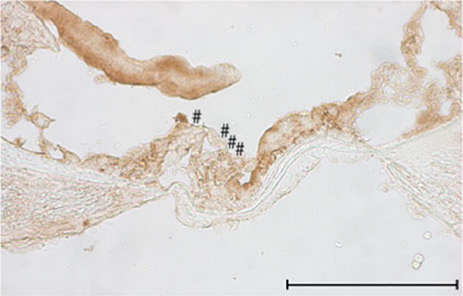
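This section shows the organ of Corti of the cochlea, with its sensory epithelium rising as a mound on a thin membrane that spans the field. Cells of the epithelium around the sensory region carry a patchy brown stain, including cells lining the shallow inner furrow to the left of the mound. The cells directly beneath the hash marks lie at the top of the mound. Above the epithelium, separated by an empty space, lies a thick, elongated, evenly brown band. Pale fibrous tissue extends from both sides of the membrane toward the edges of the field.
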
